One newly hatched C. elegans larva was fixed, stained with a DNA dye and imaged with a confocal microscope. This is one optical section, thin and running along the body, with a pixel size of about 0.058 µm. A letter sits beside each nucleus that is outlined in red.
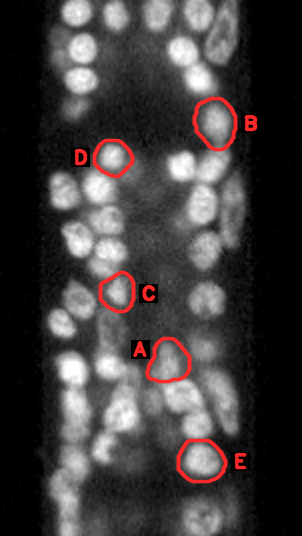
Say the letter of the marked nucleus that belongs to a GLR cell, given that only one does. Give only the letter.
D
